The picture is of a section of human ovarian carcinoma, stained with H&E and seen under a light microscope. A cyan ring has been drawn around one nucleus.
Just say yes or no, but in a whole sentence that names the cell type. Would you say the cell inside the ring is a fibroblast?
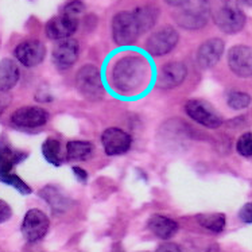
No, the cell inside the ring is regarded as a carcinoma cell rather than a fibroblast.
